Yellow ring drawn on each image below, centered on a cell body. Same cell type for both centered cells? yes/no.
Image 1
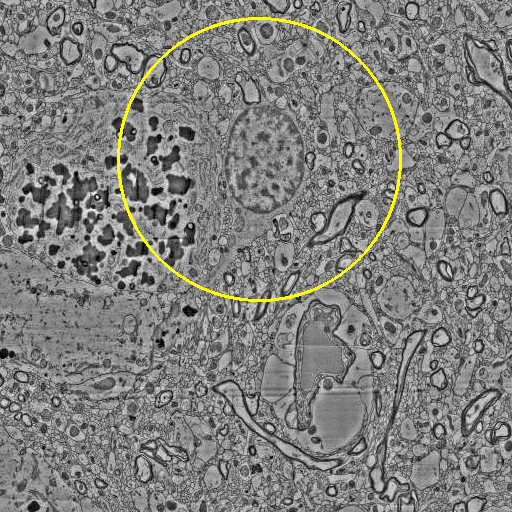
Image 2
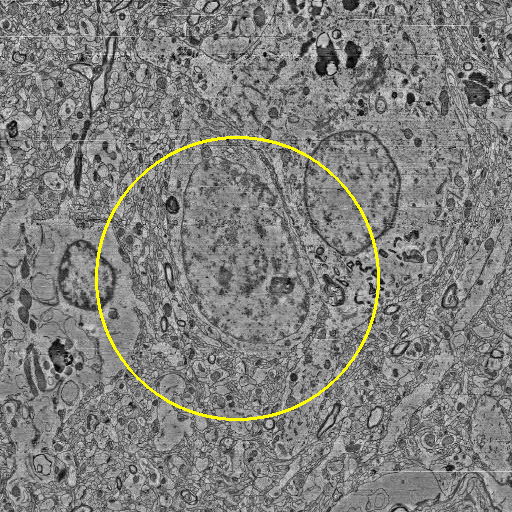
no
